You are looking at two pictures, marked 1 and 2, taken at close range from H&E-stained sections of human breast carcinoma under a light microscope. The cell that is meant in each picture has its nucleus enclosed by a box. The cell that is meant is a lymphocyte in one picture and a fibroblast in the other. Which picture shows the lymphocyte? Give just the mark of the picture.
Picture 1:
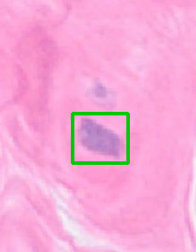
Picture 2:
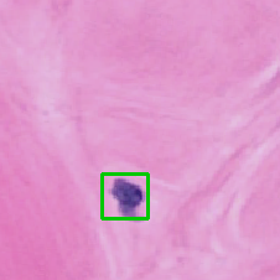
2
